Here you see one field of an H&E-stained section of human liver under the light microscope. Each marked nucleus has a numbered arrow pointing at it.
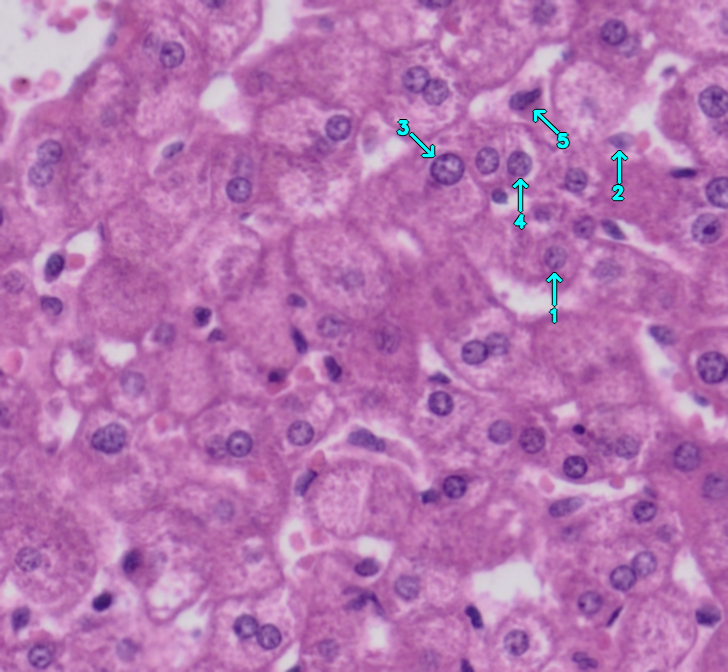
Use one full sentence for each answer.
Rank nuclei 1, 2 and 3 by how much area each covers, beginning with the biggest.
From largest to smallest, the order is 3, 1, 2.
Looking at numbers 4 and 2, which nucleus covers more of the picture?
Of the two, number 4 is bigger and takes up about 2 times the area of number 2.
